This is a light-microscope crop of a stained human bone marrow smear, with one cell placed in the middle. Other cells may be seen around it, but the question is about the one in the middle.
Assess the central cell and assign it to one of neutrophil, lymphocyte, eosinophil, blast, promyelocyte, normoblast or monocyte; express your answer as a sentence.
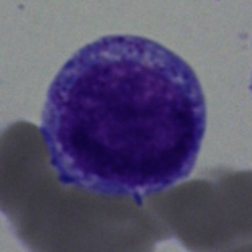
The centrally positioned cell in the crop represents a blast.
